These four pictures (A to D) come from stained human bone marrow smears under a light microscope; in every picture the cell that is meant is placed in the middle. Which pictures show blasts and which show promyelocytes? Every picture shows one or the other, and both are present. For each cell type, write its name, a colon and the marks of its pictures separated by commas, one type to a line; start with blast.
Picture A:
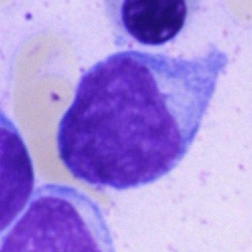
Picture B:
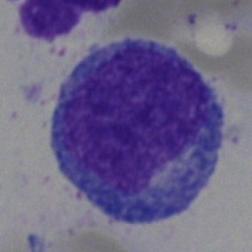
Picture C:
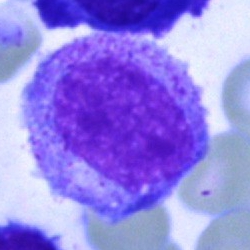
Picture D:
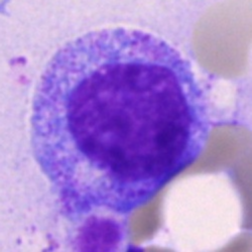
blast: A
promyelocyte: B, C, D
